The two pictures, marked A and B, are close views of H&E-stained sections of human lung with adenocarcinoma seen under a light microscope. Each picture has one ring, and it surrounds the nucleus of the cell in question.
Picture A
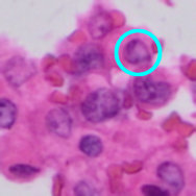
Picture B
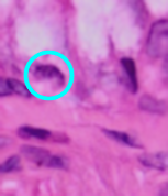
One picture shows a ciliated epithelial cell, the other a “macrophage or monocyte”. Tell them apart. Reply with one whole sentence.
The cell in picture A is a “macrophage or monocyte”, and the one in picture B is a ciliated epithelial cell.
